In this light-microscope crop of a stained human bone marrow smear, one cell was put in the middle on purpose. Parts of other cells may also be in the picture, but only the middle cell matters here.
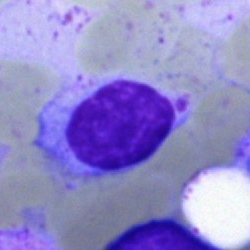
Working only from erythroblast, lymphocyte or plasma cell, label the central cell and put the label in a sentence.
What sits at the centre of this crop is a lymphocyte.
